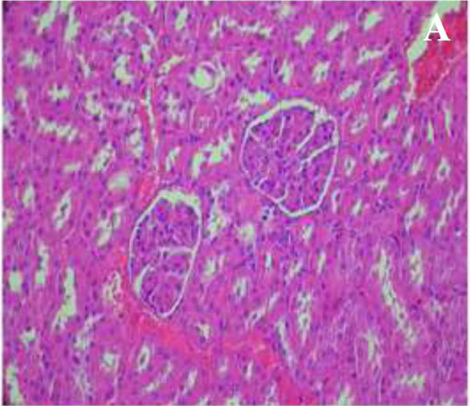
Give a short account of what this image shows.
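This is kidney cortex with glomeruli lying among closely packed renal tubules. Two rounded glomerular tufts with many purple nuclei sit within thin capsules that leave only a narrow clear rim, while the surrounding tubules are lined by pink cuboidal cells around small open lumens. Red blood-filled vessels run between the tubules.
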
